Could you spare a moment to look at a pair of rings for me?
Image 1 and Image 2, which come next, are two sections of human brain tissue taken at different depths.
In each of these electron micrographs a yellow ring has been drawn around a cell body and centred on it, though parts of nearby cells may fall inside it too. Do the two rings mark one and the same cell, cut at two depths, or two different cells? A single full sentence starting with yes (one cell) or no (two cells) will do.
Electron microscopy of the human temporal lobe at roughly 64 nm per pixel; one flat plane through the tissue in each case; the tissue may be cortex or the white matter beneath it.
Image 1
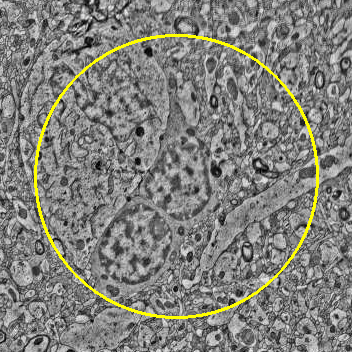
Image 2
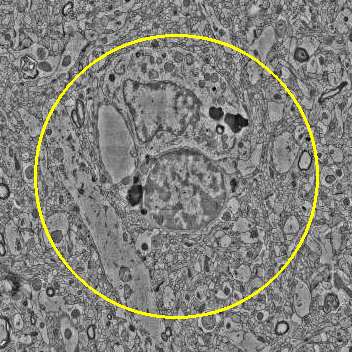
No, the cell in one ring is not the cell in the other.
